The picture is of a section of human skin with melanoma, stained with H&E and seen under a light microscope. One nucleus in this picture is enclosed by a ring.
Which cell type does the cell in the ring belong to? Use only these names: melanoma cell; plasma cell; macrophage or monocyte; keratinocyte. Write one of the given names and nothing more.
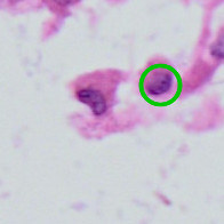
macrophage or monocyte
